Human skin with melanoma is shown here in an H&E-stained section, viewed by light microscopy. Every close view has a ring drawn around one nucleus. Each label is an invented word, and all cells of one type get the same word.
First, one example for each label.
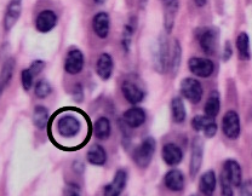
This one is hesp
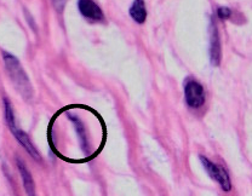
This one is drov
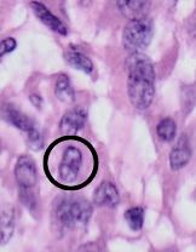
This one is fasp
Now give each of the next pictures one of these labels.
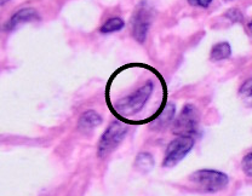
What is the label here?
fasp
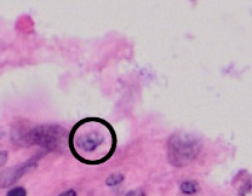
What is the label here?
hesp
